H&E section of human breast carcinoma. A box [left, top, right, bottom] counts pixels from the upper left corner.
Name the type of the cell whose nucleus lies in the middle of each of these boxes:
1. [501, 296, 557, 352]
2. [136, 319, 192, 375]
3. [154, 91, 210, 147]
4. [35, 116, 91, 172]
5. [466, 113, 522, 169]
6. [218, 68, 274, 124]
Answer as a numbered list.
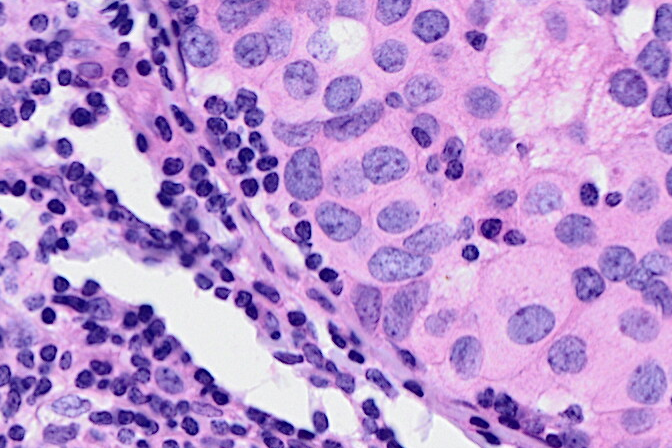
1. carcinoma cell
2. lymphocyte
3. lymphocyte
4. lymphocyte
5. carcinoma cell
6. lymphocyte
